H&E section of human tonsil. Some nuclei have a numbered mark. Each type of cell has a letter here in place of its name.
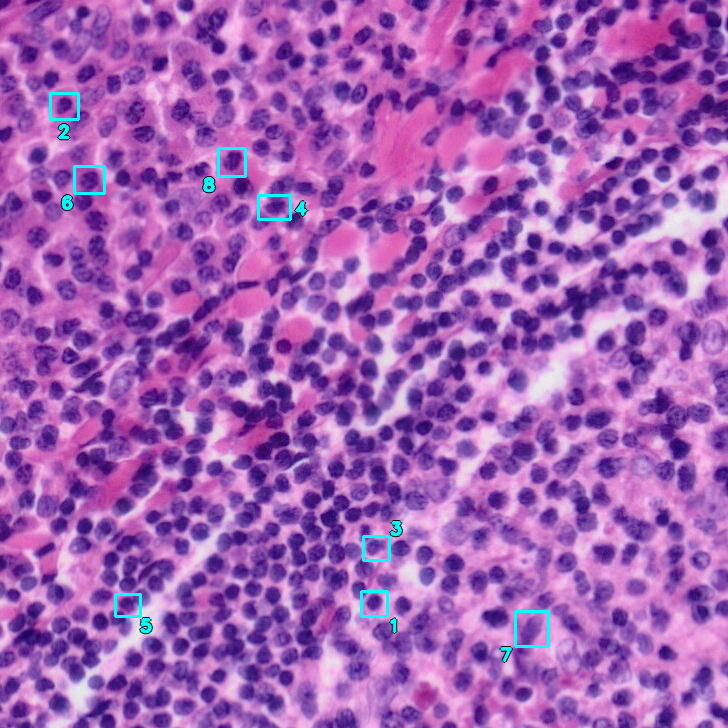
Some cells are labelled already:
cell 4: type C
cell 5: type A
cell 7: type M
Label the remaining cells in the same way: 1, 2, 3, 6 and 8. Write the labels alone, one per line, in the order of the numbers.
type A
type C
type A
type C
type C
